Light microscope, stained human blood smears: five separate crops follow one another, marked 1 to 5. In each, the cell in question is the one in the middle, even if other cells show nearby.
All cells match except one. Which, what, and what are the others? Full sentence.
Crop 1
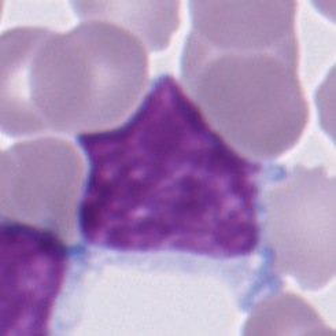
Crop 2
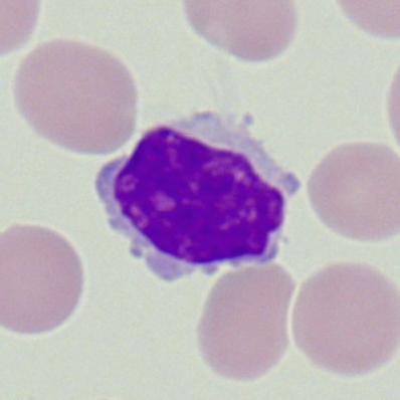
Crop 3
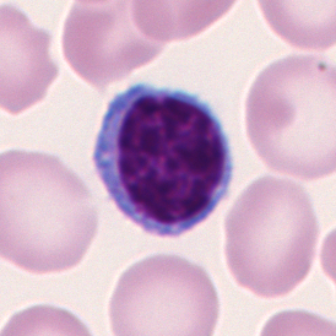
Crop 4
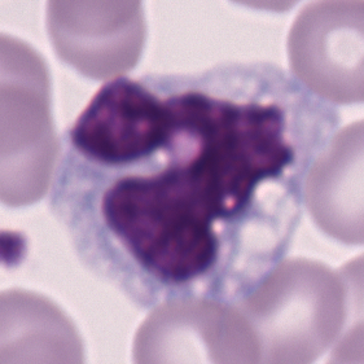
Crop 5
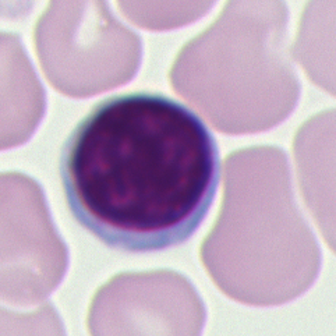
Unlike the rest, which all show lymphocytes, crop 4 contains a monocyte.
